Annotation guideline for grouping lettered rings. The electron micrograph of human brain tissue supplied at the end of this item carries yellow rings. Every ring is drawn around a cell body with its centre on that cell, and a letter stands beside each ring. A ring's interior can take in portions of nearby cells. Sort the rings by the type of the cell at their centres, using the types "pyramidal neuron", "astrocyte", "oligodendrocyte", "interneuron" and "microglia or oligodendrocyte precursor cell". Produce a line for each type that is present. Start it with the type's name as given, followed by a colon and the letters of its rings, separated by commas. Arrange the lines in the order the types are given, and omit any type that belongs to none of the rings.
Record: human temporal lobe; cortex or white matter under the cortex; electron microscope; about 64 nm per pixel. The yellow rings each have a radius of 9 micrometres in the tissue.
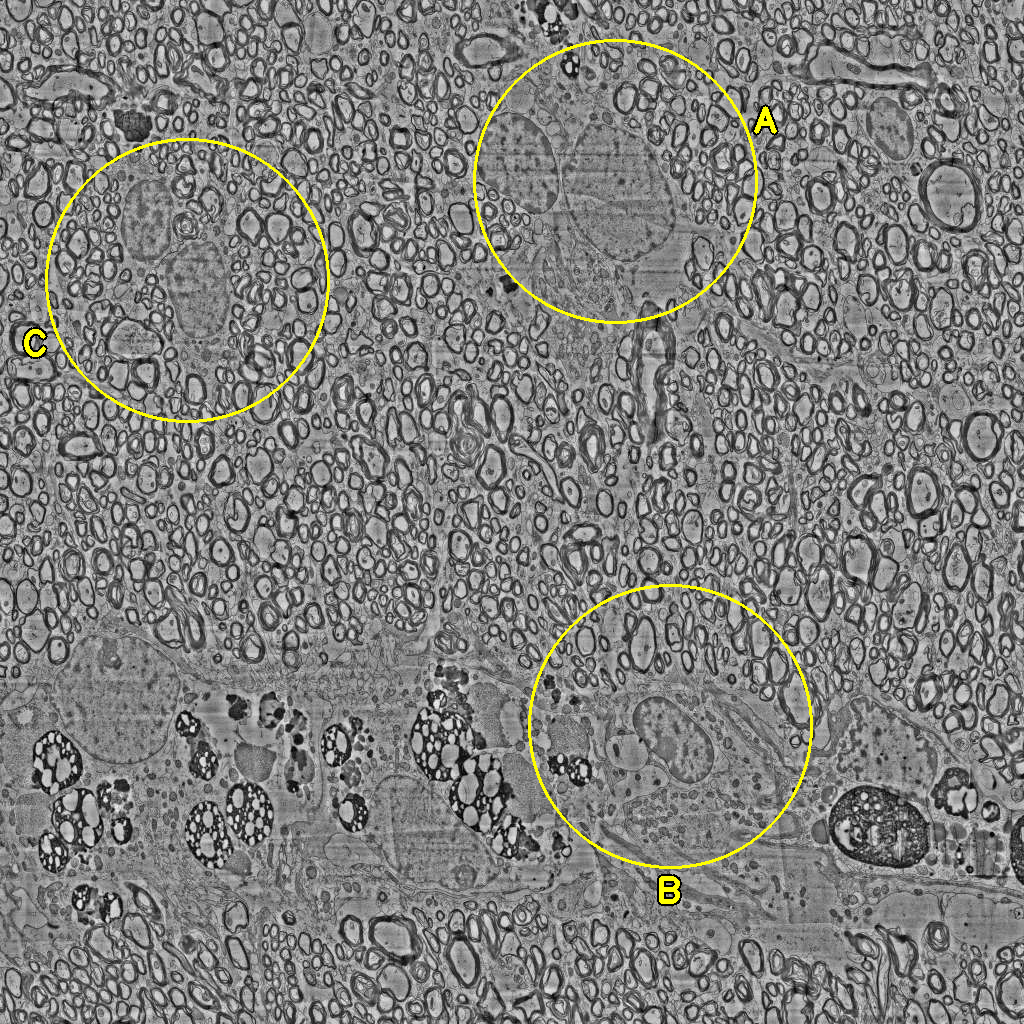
astrocyte: A
oligodendrocyte: C
microglia or oligodendrocyte precursor cell: B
